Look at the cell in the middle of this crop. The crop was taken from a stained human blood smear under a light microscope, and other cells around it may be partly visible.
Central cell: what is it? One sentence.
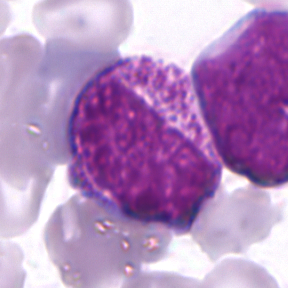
The cell featured at the centre of this crop is a myelocyte.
